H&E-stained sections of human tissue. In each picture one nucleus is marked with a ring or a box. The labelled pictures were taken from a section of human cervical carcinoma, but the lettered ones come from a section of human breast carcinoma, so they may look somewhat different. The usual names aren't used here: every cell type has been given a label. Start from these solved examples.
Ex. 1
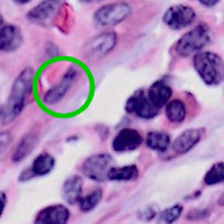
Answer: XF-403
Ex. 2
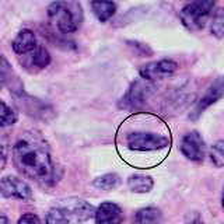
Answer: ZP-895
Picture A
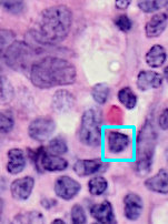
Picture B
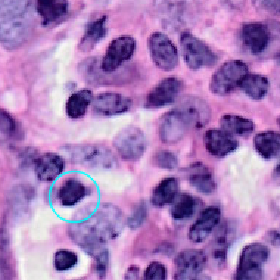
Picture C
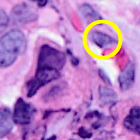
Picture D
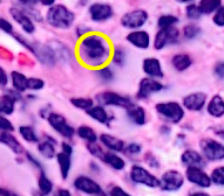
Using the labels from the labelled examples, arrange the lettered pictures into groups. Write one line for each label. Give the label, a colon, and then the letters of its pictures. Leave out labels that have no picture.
XF-403: C
ZP-895: A, B, D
